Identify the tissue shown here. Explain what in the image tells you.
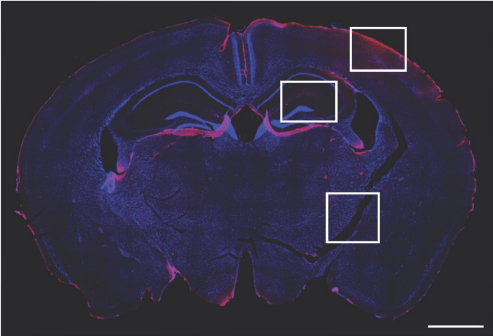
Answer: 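A whole coronal section with two symmetric hemispheres. Curved hippocampal formations in both hemispheres.
Hence: brain.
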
